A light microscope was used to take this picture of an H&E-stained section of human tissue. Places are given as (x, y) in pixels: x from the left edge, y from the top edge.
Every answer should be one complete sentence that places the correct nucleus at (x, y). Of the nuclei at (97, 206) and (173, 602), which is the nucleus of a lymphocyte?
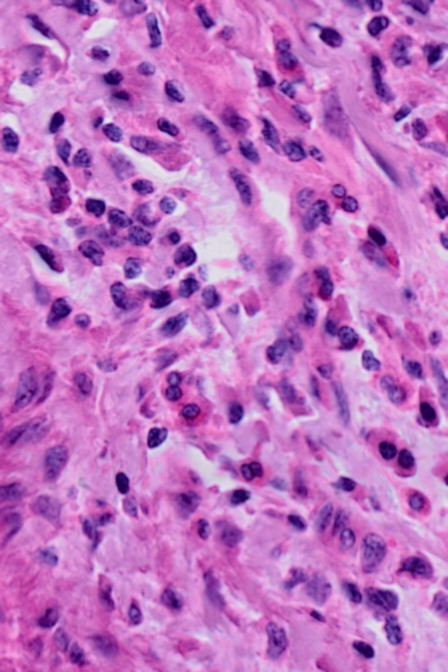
Of the two nuclei present, the one at (97, 206) is within a lymphocyte.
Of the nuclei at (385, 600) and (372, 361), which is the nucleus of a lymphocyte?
The nucleus at (372, 361) is attributed to a lymphocyte, unlike the other nucleus.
